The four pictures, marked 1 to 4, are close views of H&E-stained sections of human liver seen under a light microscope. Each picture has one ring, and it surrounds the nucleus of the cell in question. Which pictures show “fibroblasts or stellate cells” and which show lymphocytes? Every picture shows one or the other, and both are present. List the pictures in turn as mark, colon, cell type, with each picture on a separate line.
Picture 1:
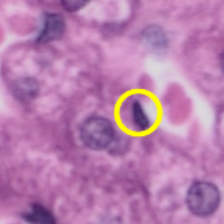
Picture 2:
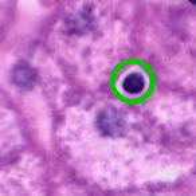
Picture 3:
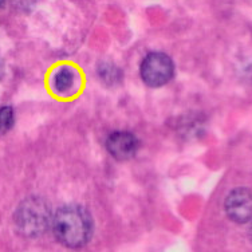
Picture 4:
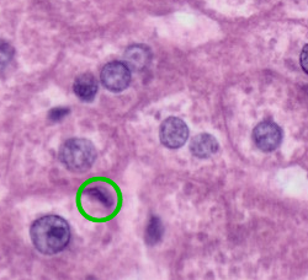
1: fibroblast or stellate cell
2: lymphocyte
3: lymphocyte
4: fibroblast or stellate cell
